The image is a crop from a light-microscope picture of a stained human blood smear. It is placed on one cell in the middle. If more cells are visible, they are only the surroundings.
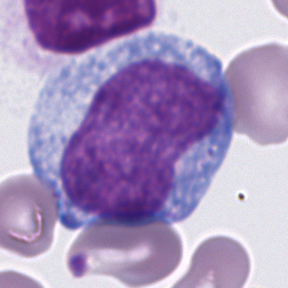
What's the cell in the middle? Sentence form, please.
This crop has a promyelocyte at its centre.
